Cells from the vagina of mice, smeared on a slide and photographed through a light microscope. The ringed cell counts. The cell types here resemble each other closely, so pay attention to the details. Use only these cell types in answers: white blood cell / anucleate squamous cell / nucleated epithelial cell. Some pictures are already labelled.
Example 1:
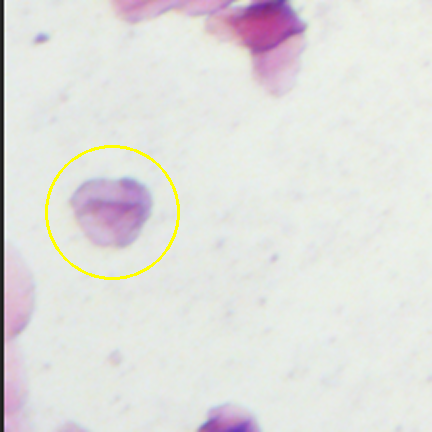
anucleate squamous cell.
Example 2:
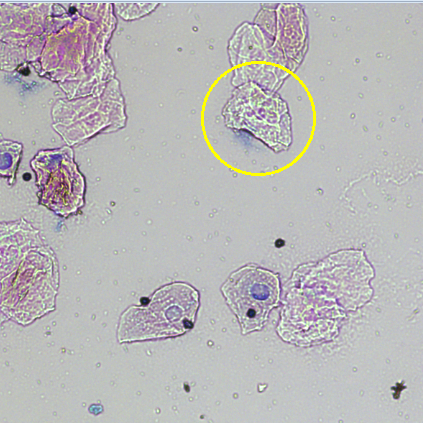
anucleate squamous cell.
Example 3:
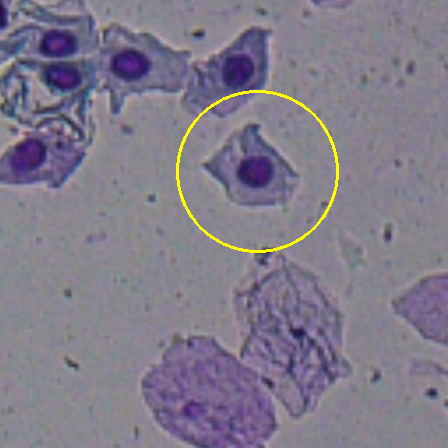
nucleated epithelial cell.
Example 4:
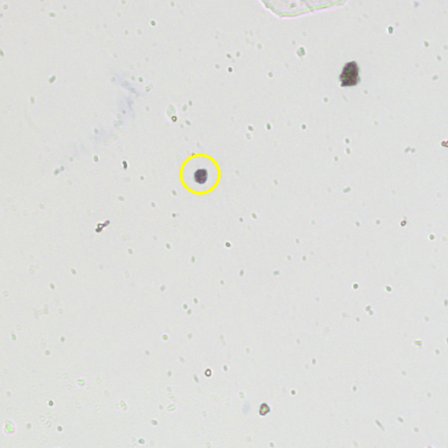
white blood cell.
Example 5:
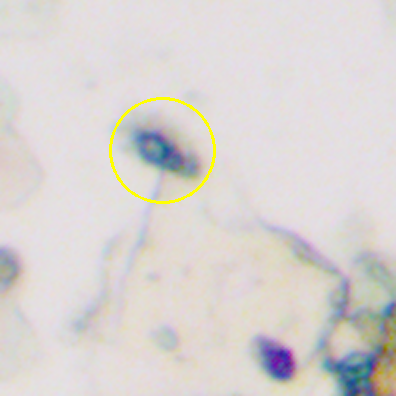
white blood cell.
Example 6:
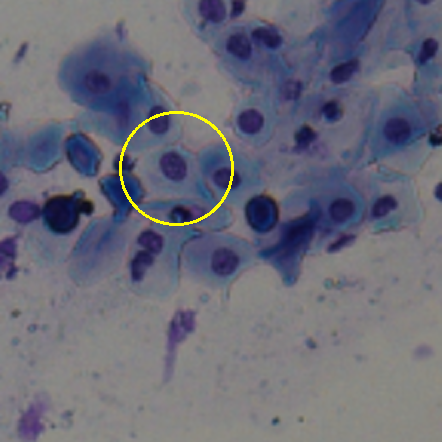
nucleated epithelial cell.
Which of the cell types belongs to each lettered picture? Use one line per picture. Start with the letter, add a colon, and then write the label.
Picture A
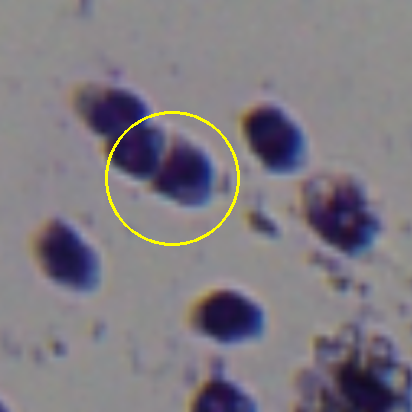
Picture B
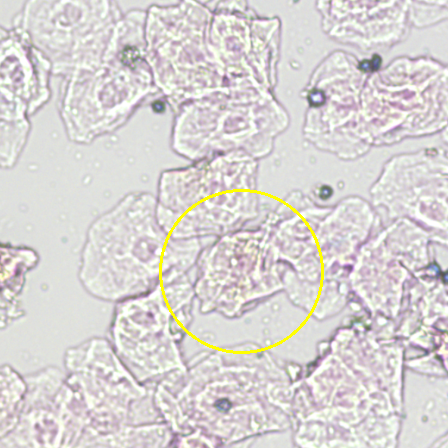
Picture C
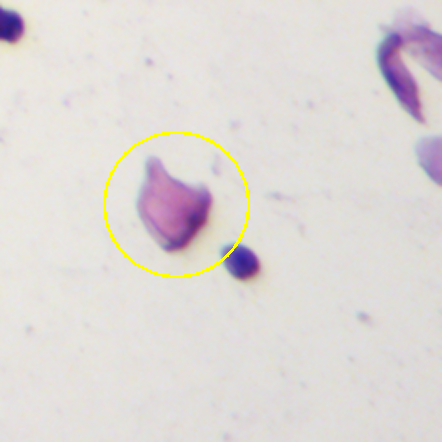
A: white blood cell.
B: anucleate squamous cell.
C: anucleate squamous cell.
